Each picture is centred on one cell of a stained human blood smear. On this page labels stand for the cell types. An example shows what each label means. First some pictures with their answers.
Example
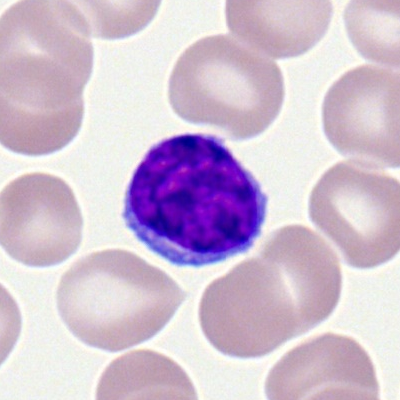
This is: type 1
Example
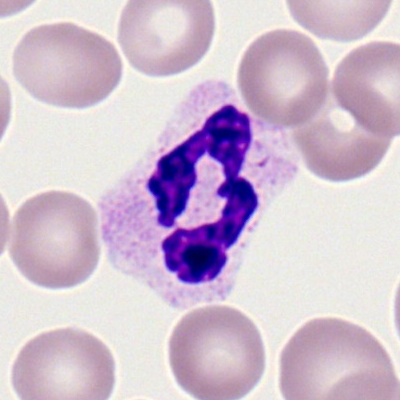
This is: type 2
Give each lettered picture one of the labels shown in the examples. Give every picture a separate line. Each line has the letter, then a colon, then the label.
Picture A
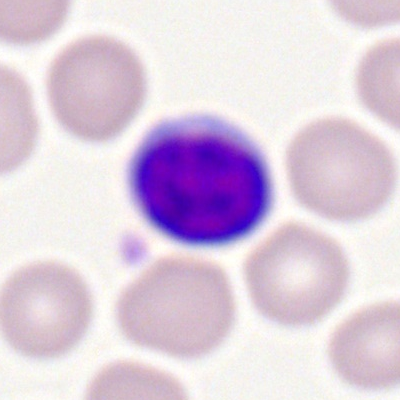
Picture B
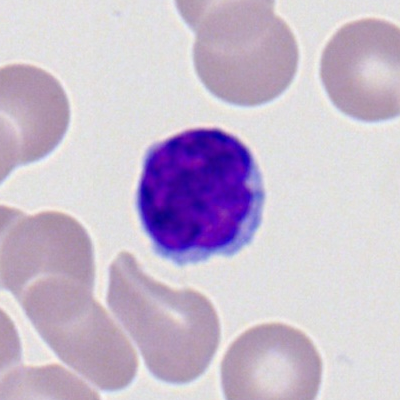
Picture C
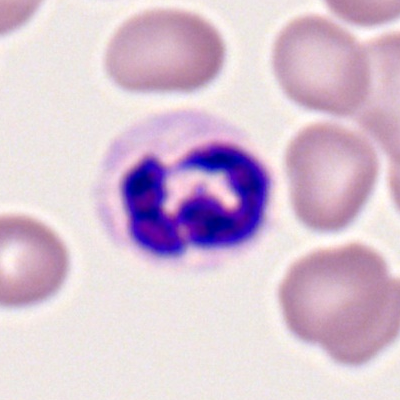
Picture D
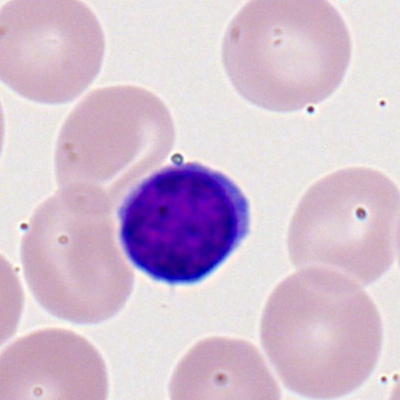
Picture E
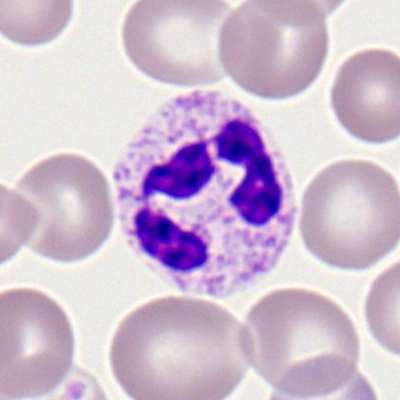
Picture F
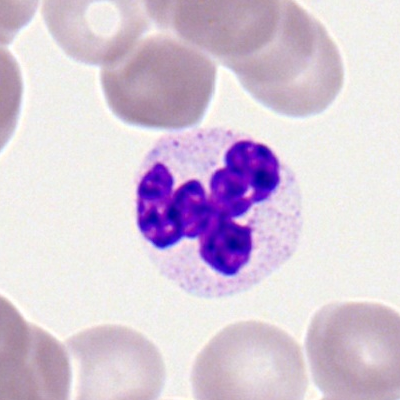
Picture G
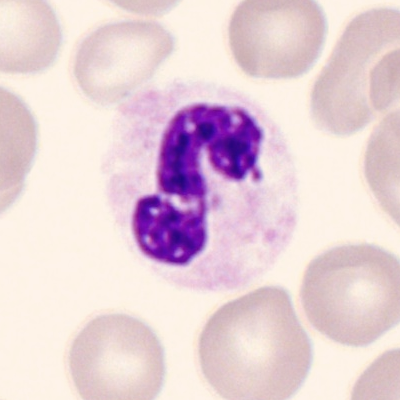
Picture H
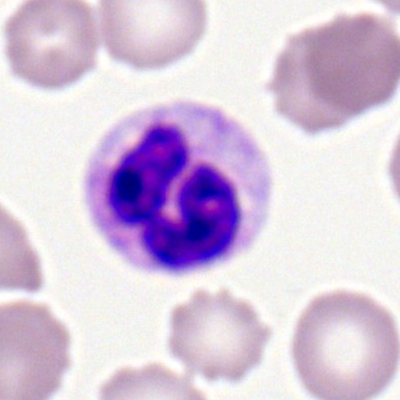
A: type 1
B: type 1
C: type 2
D: type 1
E: type 2
F: type 2
G: type 2
H: type 2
